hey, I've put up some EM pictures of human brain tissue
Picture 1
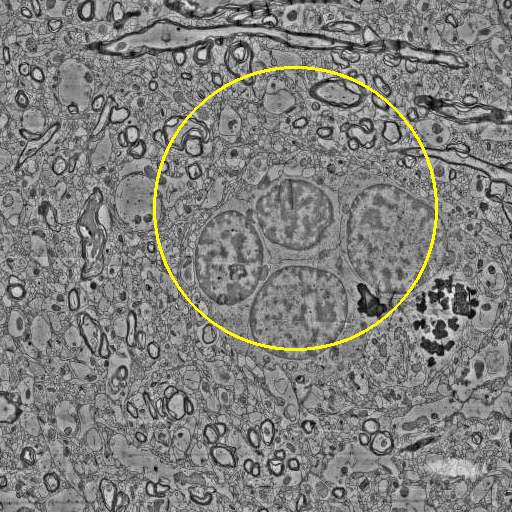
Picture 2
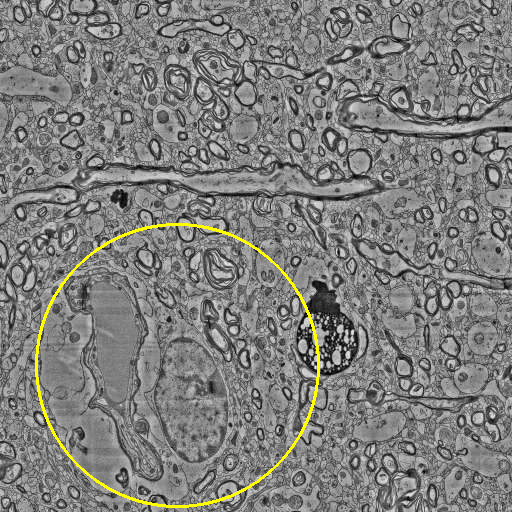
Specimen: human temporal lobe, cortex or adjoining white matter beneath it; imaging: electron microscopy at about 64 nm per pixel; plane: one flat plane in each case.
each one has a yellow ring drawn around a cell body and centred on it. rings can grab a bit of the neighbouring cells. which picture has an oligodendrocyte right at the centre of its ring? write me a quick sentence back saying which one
It's Picture 1.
